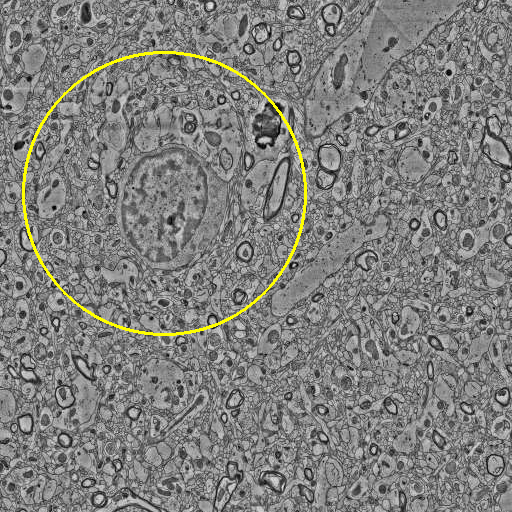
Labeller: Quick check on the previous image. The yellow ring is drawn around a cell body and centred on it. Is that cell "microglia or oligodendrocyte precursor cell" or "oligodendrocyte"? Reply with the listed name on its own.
oligodendrocyte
